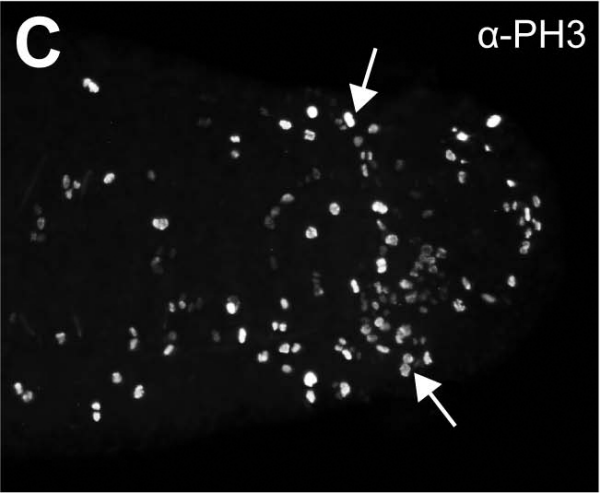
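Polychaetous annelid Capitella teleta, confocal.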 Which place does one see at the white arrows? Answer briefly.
Localised region of high cell proliferation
